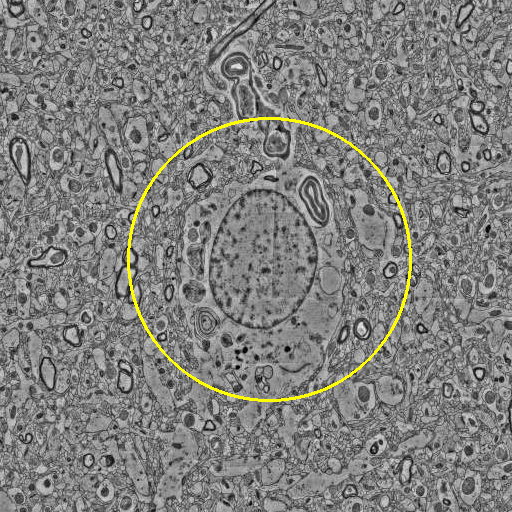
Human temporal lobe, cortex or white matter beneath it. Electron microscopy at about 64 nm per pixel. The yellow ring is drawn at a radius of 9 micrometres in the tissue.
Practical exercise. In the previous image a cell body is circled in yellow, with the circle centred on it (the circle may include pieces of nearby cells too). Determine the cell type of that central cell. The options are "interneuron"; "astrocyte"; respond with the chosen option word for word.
astrocyte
